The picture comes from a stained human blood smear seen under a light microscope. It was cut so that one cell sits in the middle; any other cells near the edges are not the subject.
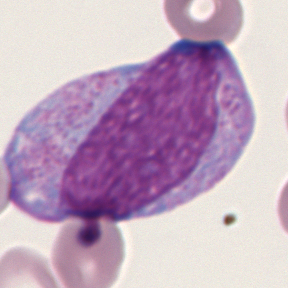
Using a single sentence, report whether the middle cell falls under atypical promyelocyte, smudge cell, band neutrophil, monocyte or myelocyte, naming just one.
The central cell shown in this smear crop is an atypical promyelocyte.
